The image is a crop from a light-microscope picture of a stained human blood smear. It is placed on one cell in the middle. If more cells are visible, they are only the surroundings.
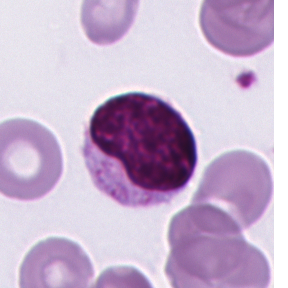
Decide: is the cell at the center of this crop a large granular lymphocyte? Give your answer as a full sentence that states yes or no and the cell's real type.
Yes, the centrally placed cell is a large granular lymphocyte.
